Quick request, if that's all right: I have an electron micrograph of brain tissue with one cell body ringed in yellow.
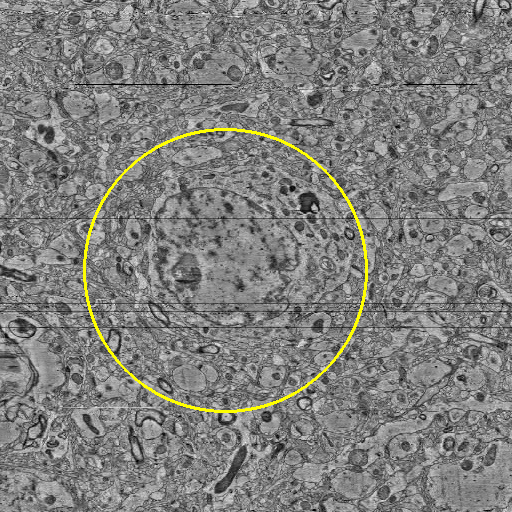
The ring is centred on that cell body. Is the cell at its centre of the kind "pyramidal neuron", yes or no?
no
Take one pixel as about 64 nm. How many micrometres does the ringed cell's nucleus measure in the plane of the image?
The ringed cell's nucleus is about 9 micrometres across in this plane.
